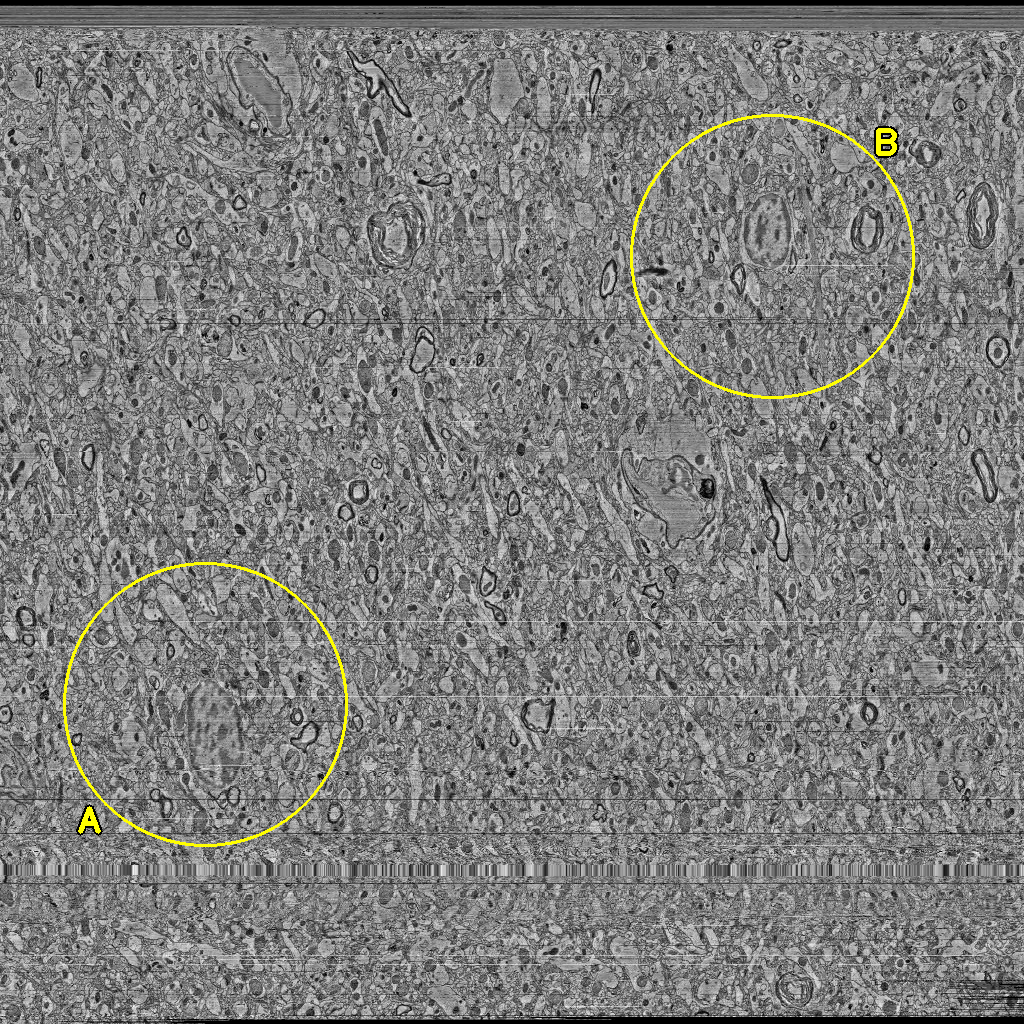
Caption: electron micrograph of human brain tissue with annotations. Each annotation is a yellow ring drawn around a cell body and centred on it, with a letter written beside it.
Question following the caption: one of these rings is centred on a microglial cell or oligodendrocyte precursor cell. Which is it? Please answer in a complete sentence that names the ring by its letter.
The ring with the letter B is centred on it.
